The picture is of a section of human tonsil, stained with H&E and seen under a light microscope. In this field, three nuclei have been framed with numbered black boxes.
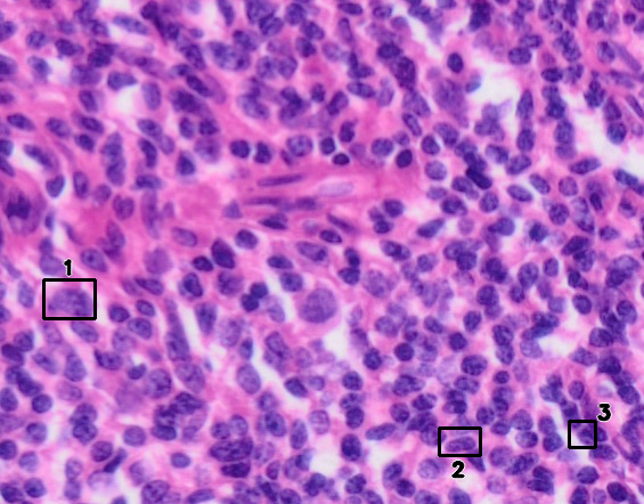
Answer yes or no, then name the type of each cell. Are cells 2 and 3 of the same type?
Yes, in the case of cells 2 and 3, both are small lymphocytes.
